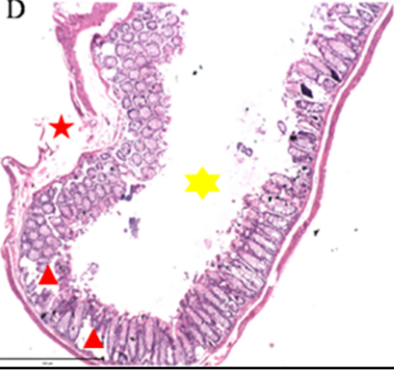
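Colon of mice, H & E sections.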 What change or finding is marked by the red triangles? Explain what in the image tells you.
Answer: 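Distorted crypts. The red triangles lie at the base of the mucosa. Crypts near the triangles are irregular and disordered rather than straight parallel tubes.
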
